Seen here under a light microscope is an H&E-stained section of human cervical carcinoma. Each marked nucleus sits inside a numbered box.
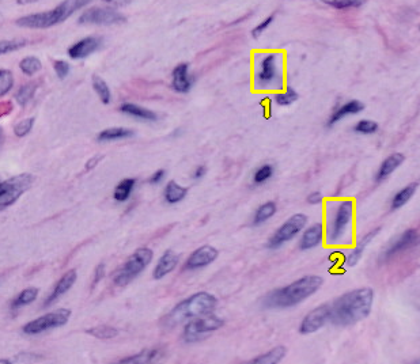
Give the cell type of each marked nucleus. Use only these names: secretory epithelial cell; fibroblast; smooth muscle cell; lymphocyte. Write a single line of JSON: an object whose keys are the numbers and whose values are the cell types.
{"1": "fibroblast", "2": "smooth muscle cell"}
